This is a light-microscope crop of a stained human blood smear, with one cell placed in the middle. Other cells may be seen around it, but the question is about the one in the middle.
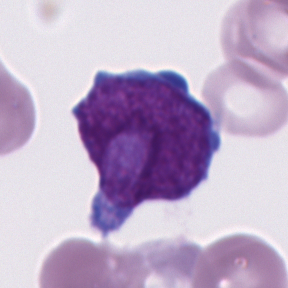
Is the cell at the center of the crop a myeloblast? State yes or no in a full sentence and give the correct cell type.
Yes, it is a myeloblast that is seen at the centre of the crop.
